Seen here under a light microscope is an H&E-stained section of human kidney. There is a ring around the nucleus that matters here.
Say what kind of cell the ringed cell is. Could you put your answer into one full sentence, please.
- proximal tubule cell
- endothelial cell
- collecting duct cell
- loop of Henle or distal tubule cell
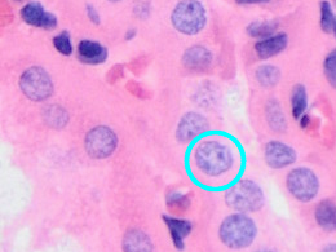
In the stained section, the ringed cell is a collecting duct cell.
